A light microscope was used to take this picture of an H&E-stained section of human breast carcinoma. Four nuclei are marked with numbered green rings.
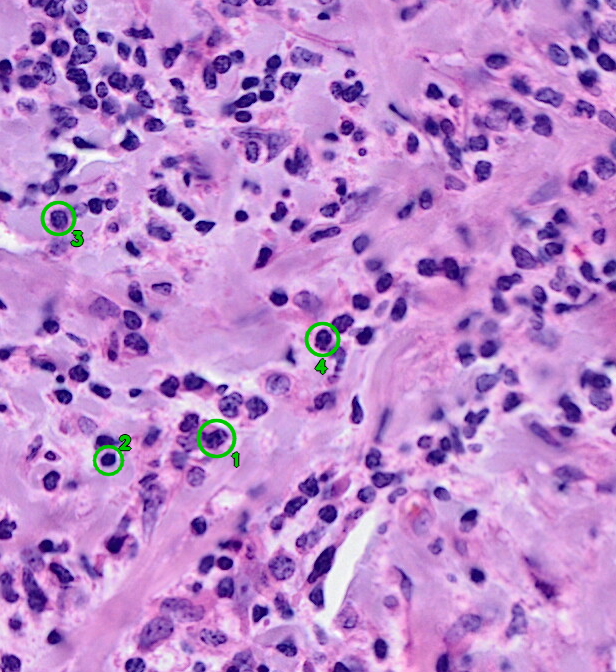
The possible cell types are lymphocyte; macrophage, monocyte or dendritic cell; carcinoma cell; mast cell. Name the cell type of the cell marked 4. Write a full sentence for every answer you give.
In the tissue shown, cell 4 is a lymphocyte.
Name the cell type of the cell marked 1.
The cell indicated by marker 1 is a lymphocyte in this section.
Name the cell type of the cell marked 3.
Heads up, the cell numbered 3 is a mast cell.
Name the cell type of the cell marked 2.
The cell bearing label 2 corresponds to a lymphocyte.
